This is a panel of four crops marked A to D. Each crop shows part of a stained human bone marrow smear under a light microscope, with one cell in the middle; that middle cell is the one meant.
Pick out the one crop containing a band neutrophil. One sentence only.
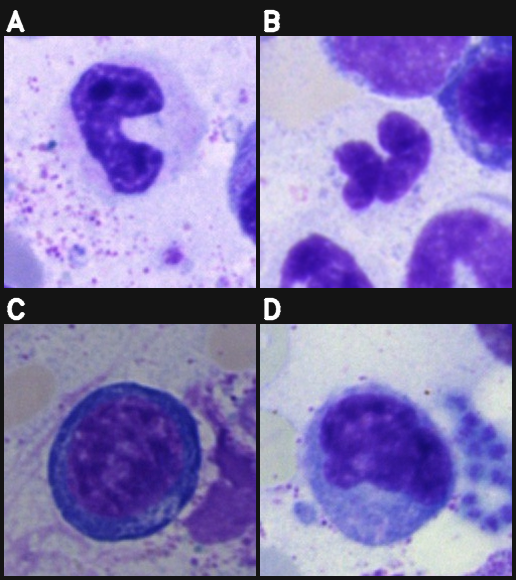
Crop A, and no other, shows a band neutrophil.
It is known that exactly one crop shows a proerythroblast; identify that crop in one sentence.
The crop that has a proerythroblast in the middle is crop C.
